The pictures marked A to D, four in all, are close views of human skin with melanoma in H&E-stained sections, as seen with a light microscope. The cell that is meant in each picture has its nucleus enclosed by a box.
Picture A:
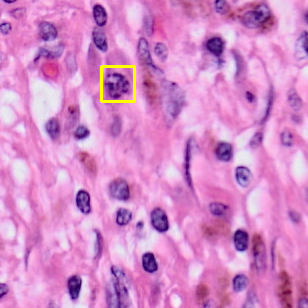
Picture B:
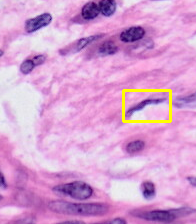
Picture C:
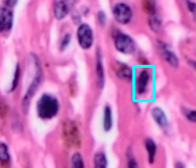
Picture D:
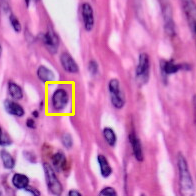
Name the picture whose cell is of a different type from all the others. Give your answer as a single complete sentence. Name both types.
Picture B differs, because its cell is a “fibroblast or myofibroblast” and the rest are plasma cells.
